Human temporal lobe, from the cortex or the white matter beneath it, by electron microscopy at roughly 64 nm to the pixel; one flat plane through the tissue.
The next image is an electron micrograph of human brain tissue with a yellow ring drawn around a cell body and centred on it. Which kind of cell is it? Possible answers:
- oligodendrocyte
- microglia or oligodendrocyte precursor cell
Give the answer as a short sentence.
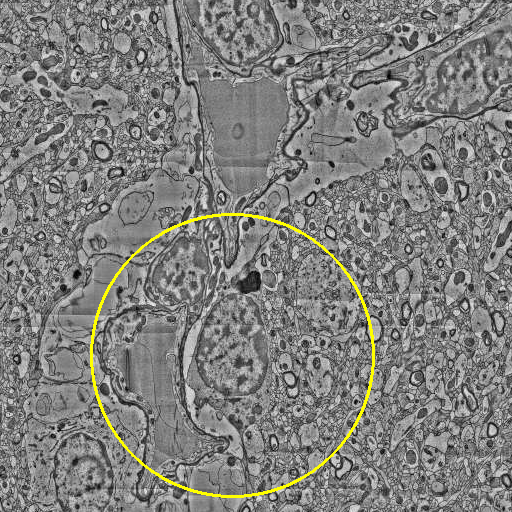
In the ring's centre is an oligodendrocyte.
